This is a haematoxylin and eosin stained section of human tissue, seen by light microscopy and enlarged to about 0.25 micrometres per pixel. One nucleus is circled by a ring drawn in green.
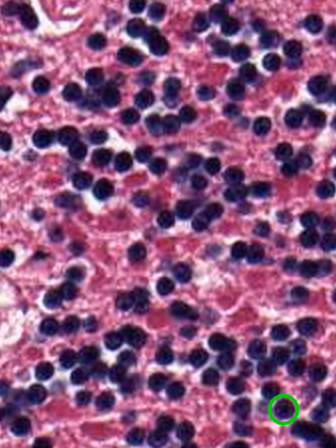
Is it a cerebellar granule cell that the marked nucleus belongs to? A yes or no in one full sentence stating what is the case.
Yes, the marked nucleus is the nucleus of a cerebellar granule cell.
